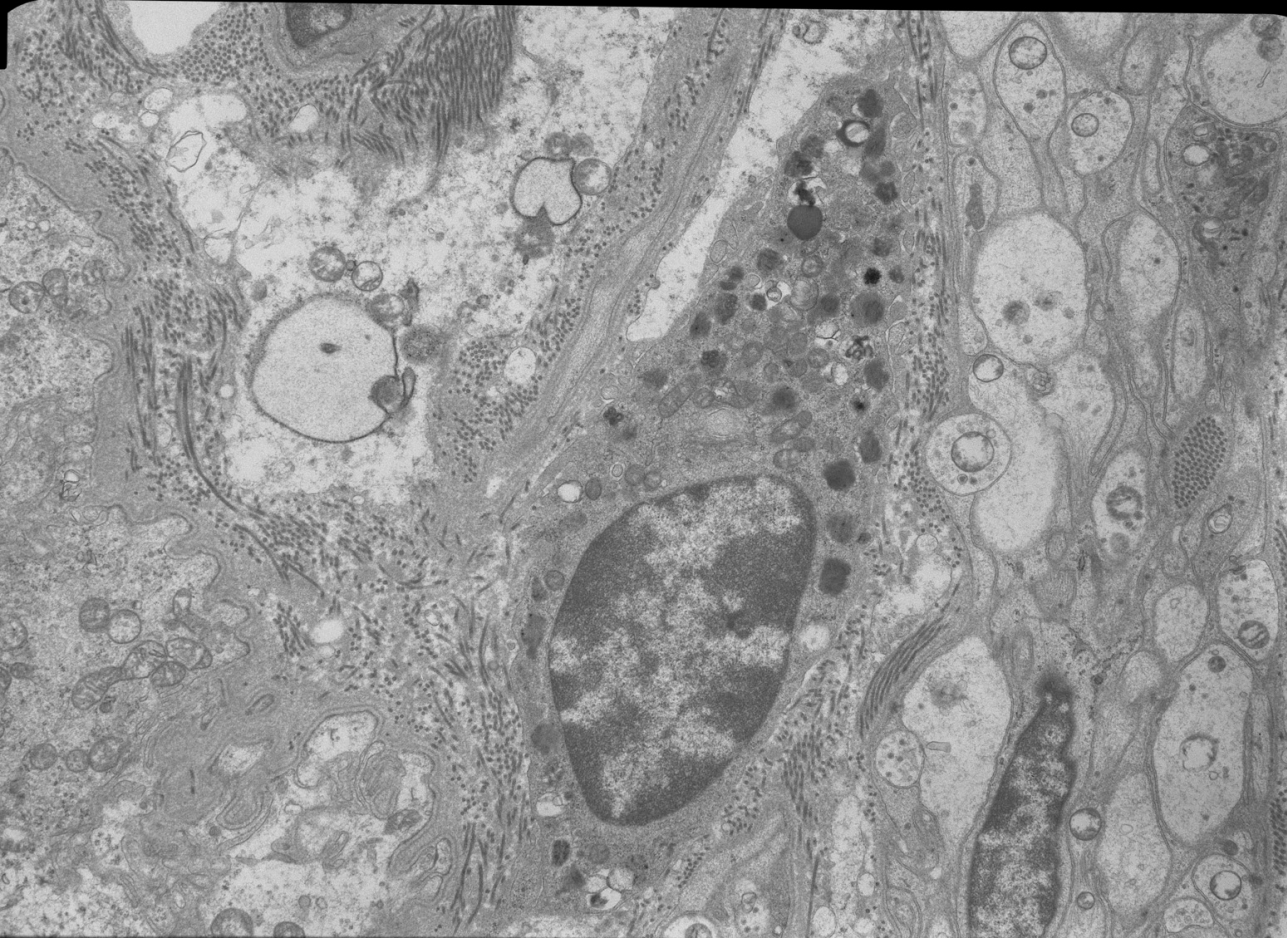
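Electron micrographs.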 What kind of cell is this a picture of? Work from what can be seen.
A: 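A central cell with an oval nucleus has cytoplasm packed with numerous round membrane-bound granules. The granules vary from electron-dense to pale. The cell lies among bundles of fibrils of the surrounding connective tissue. The answer: mast cells.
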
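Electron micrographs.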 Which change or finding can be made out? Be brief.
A: partially and completely empty granule chambers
